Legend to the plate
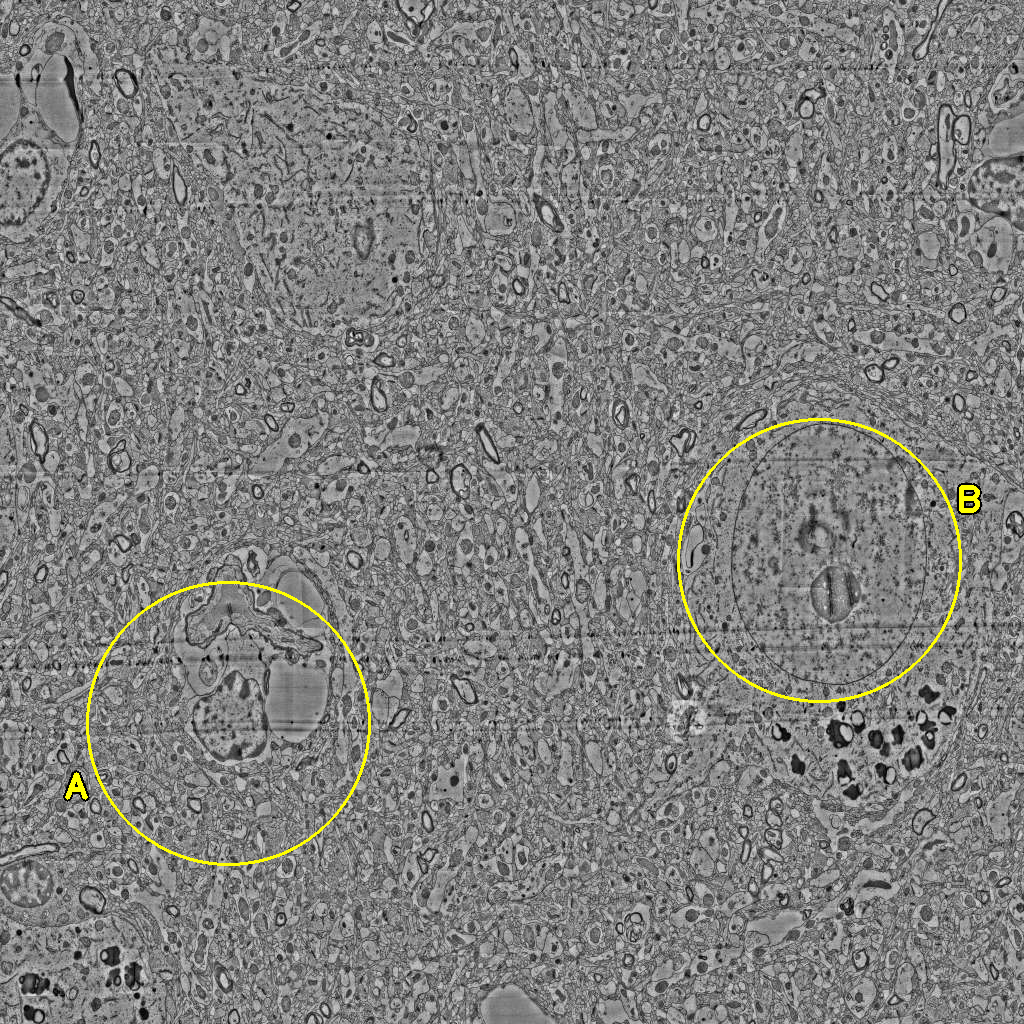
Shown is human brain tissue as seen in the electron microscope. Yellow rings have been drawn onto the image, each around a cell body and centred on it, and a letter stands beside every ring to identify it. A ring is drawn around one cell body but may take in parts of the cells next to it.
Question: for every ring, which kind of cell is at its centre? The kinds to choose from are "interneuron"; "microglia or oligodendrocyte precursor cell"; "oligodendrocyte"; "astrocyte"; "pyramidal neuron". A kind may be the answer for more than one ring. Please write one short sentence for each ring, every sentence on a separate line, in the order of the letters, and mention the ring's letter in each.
The kind of cell at the centre of ring A is a microglial cell or oligodendrocyte precursor cell.
The kind of cell at the centre of ring B is a pyramidal neuron.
